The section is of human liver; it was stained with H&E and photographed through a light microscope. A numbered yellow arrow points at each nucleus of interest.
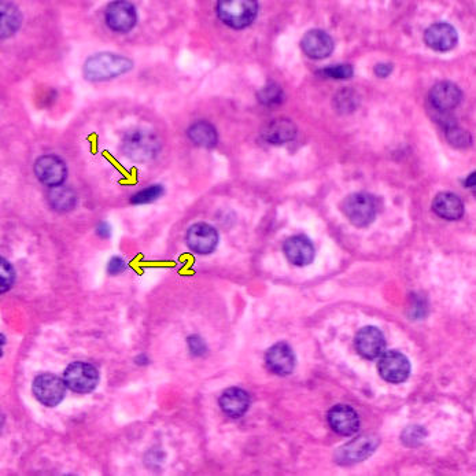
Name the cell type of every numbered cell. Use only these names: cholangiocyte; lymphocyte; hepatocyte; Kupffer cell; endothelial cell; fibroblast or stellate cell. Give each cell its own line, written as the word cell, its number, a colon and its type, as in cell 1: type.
cell 1: fibroblast or stellate cell
cell 2: lymphocyte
